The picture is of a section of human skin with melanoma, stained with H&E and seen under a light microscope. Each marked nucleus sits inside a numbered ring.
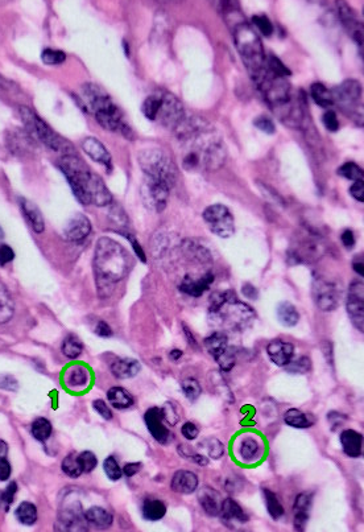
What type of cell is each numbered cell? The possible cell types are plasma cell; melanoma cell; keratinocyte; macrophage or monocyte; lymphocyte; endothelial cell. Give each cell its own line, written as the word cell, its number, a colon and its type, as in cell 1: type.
cell 1: plasma cell
cell 2: lymphocyte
